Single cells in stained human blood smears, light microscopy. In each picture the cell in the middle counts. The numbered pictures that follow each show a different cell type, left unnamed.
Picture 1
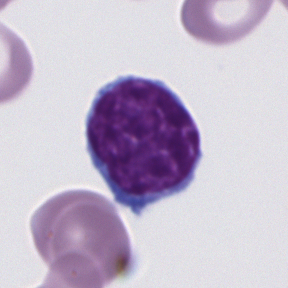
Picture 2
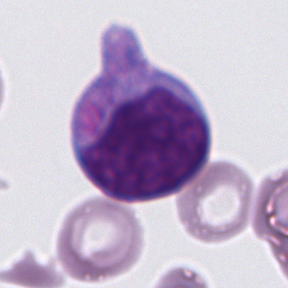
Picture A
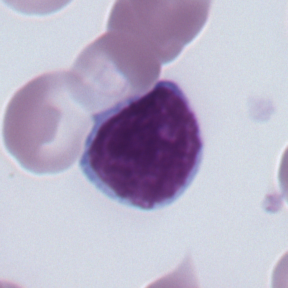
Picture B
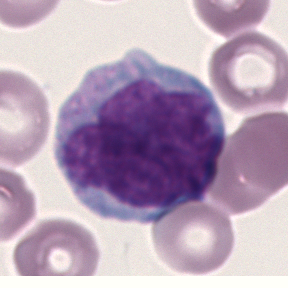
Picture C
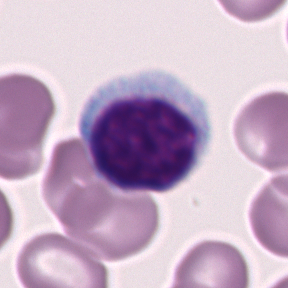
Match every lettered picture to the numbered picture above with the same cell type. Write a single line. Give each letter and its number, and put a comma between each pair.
A 1, B 2, C 1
